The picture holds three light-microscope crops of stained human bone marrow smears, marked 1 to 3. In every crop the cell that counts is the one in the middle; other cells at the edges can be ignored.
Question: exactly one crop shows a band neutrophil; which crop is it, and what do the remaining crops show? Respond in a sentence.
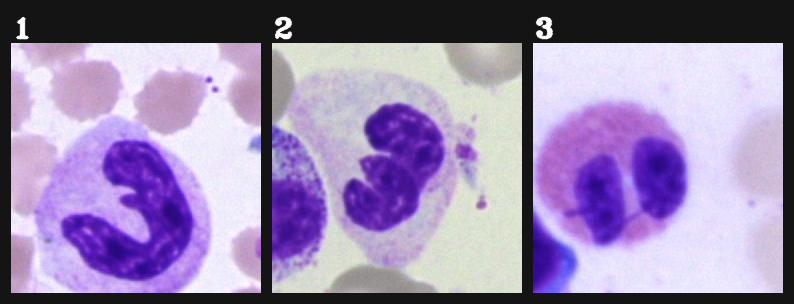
The central cell in crop 1 is a band neutrophil, whereas crop 2 is a segmented neutrophil and crop 3 is an eosinophil.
